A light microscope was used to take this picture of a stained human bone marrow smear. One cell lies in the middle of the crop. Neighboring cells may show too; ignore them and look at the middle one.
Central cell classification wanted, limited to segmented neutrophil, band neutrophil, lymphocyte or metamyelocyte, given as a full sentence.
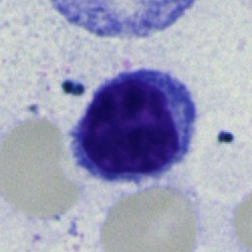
The middle position in this crop is taken by a lymphocyte.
